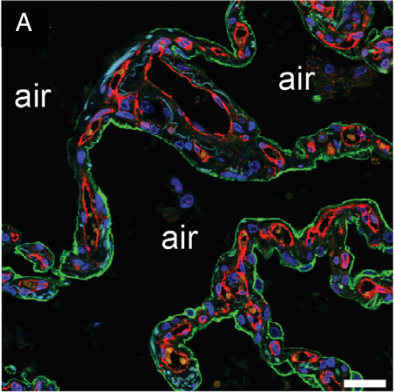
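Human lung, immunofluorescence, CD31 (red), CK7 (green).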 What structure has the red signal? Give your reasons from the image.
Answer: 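Thin red-lined tubular channels run within the thin walls between air spaces. Small rounded profiles sit inside the red channels.
Conclusion: alveolar capillaries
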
